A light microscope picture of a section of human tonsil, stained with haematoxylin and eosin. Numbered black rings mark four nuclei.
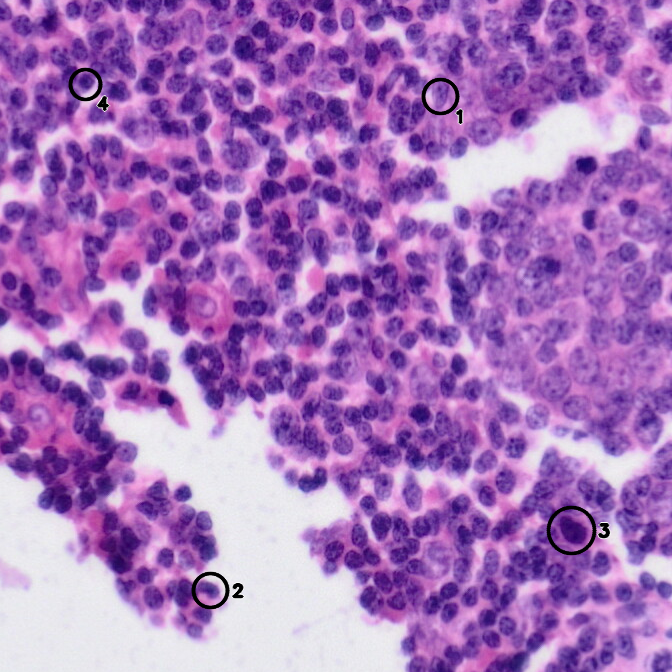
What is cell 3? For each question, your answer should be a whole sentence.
The one numbered 3 among the marked cells is a proliferating B cell.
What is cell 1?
Cell number 1 in this section is a proliferating B cell.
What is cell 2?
The cell indicated by marker 2 is a small lymphocyte in this section.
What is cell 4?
The one numbered 4 among the marked cells is a small lymphocyte.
